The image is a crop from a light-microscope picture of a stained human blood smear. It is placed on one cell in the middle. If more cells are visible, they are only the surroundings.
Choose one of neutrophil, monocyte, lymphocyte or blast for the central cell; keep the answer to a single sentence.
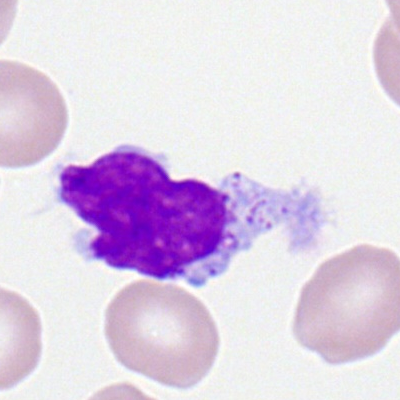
At the center of the crop sits a lymphocyte.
